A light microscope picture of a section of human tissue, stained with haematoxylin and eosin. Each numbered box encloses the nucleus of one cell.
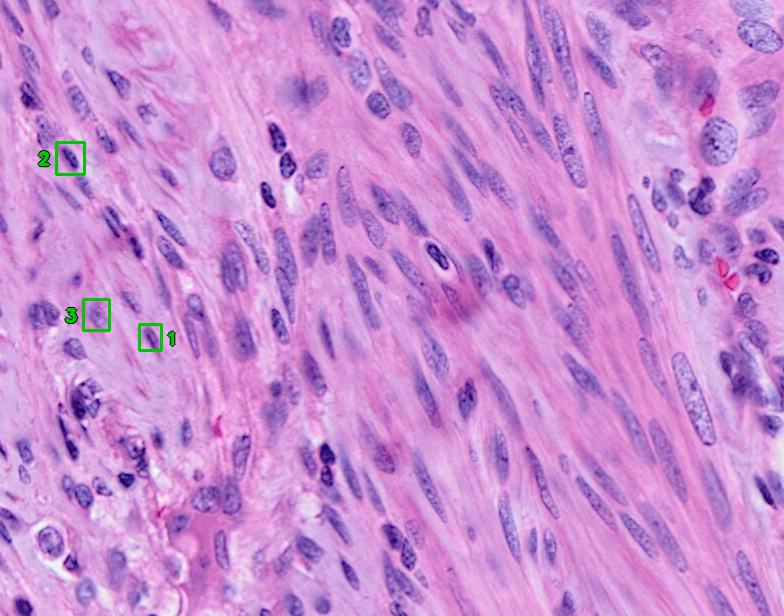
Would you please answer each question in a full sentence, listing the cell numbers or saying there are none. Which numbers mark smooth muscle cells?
The cells that have numbers 1 and 3 are smooth muscle cells.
